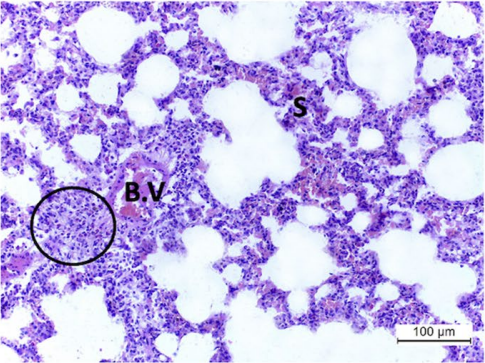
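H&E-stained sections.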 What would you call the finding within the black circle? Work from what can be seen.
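Inflammatory infiltrates. The small circle encloses a cluster of crowded small nuclei within a septum. The cluster is much smaller than the surrounding lung field.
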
